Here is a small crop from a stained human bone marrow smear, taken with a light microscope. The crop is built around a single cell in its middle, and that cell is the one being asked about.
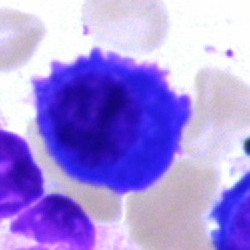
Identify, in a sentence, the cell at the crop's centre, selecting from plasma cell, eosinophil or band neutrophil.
The target cell in the middle of the crop is a plasma cell.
